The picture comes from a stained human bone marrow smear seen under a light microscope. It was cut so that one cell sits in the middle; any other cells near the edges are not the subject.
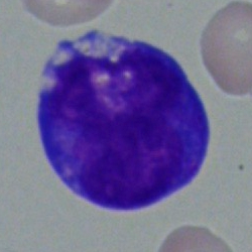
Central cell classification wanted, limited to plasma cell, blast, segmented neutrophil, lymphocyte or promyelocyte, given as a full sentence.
Classified as a blast is the cell in the middle of this crop.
